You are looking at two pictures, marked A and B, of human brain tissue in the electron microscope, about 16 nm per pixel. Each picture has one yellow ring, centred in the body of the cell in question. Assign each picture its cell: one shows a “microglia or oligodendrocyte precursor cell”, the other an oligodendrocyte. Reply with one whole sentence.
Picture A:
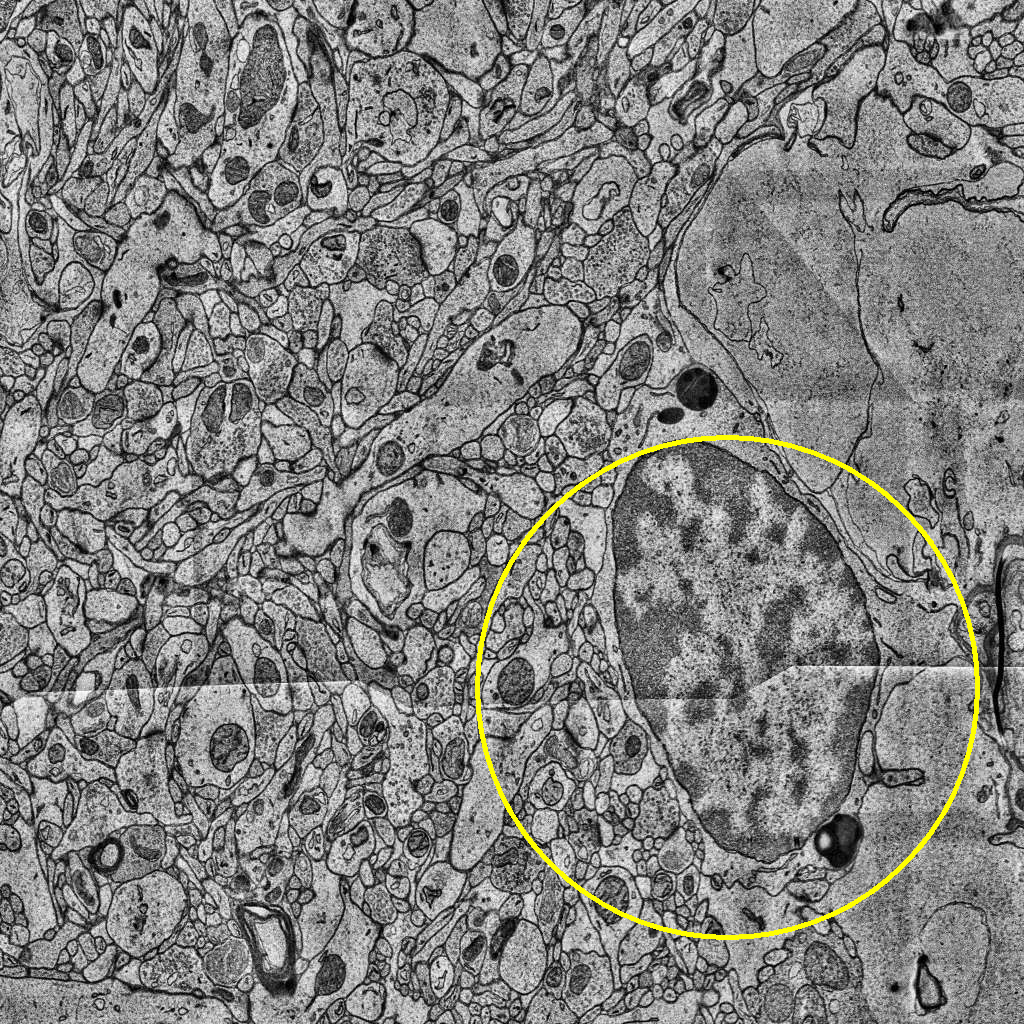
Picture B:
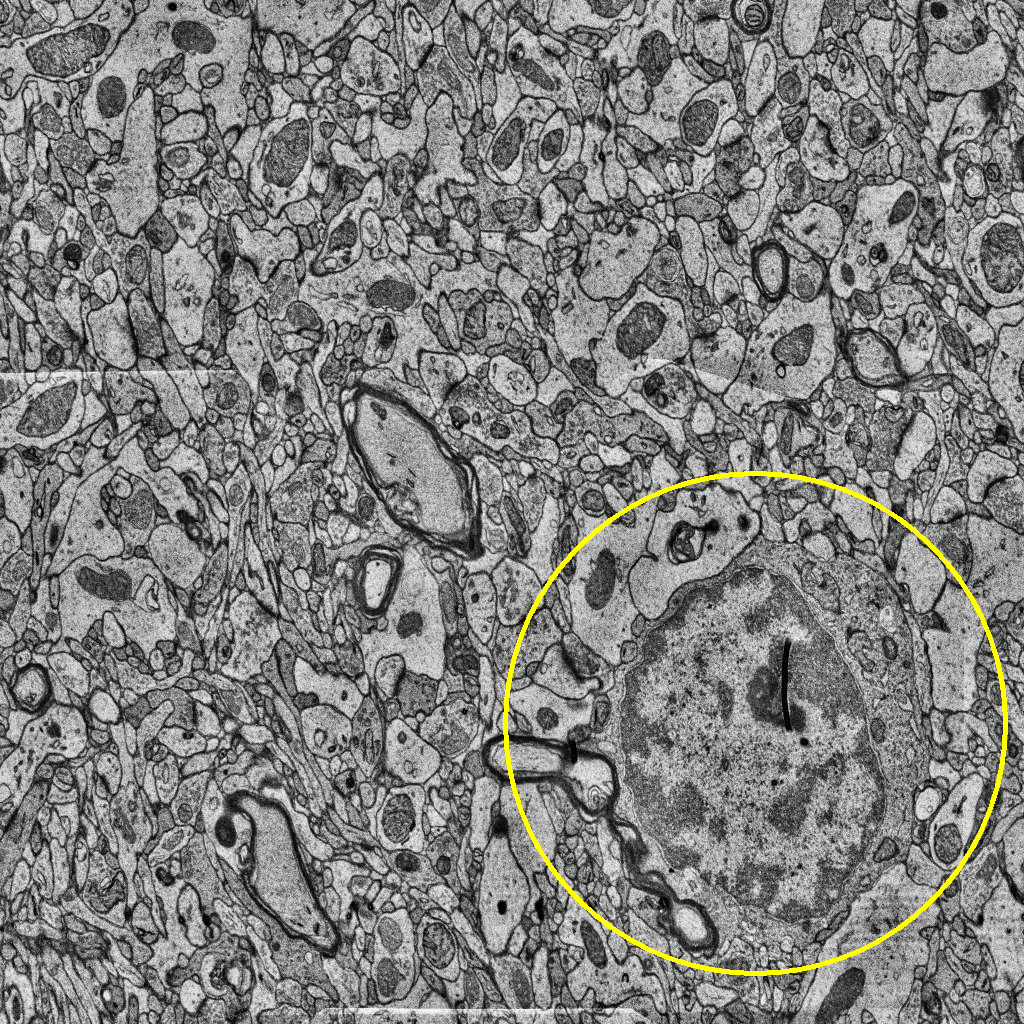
Picture B shows an oligodendrocyte, while picture A shows a “microglia or oligodendrocyte precursor cell”.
